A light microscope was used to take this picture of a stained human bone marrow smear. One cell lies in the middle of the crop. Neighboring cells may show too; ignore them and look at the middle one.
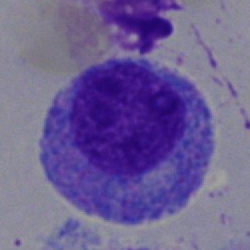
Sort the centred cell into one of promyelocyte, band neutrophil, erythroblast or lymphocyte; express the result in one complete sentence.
The middle of this crop is occupied by a promyelocyte.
